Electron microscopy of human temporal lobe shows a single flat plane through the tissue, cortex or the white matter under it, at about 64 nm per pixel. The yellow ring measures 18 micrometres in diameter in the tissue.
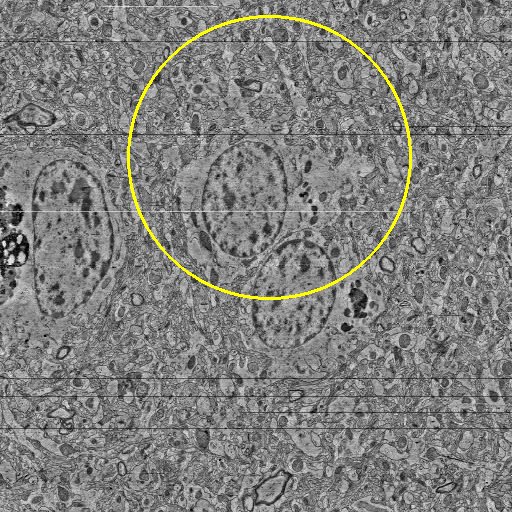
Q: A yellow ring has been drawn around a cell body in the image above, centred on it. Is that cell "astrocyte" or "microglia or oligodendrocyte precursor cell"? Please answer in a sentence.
The ring surrounds the cell body of an astrocyte.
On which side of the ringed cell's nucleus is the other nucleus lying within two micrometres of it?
The other nucleus is positioned to the lower right of it.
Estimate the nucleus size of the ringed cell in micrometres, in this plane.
In this plane the nucleus is about 8 micrometres by 5.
